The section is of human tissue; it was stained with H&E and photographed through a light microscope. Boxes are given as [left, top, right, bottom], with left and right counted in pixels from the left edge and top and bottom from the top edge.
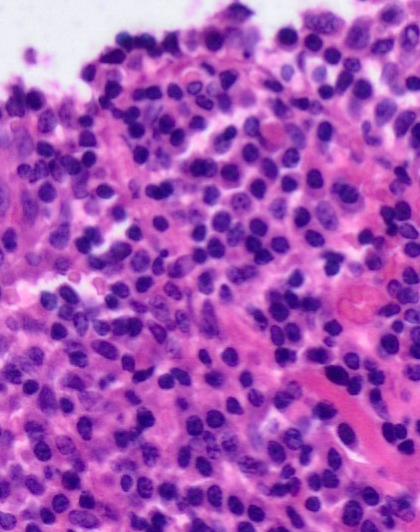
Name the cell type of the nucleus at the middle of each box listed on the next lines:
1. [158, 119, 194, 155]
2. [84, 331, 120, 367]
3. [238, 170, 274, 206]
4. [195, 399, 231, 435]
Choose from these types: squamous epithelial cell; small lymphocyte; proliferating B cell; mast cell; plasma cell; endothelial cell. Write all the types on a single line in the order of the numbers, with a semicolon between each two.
plasma cell; squamous epithelial cell; plasma cell; plasma cell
